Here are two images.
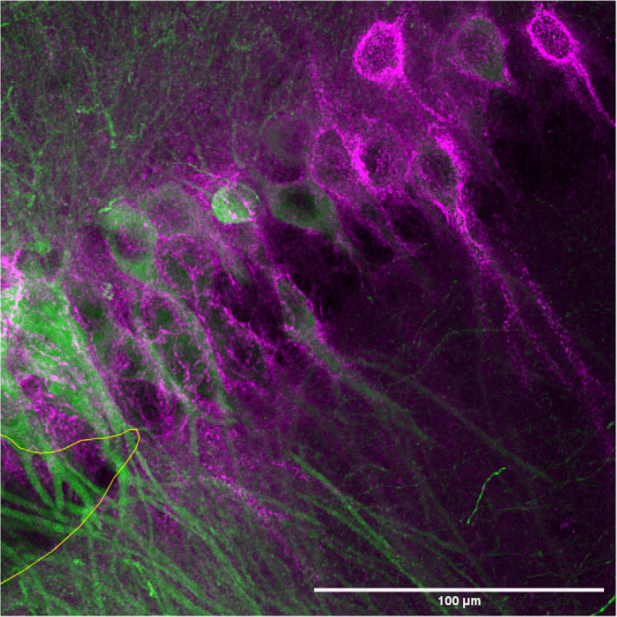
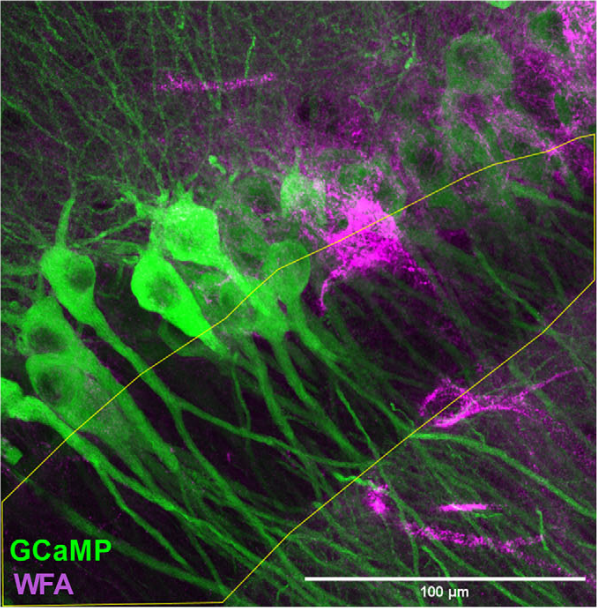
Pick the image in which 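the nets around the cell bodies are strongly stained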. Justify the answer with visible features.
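Second image: magenta is patchy, concentrated in a few clusters, and most green cell bodies lack a bright ring. First image: many cell bodies are surrounded by bright magenta rings that extend onto their processes.
Hence: the first image.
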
